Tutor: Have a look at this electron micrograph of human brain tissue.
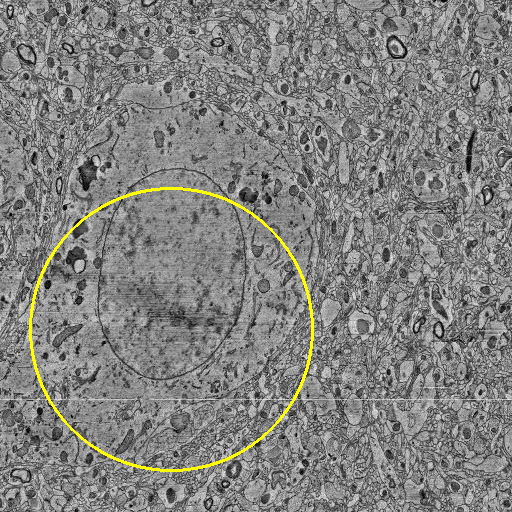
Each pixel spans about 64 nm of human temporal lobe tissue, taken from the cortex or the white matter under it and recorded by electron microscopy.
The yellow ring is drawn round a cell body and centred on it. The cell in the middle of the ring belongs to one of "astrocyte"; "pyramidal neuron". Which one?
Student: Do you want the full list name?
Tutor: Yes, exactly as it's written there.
pyramidal neuron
